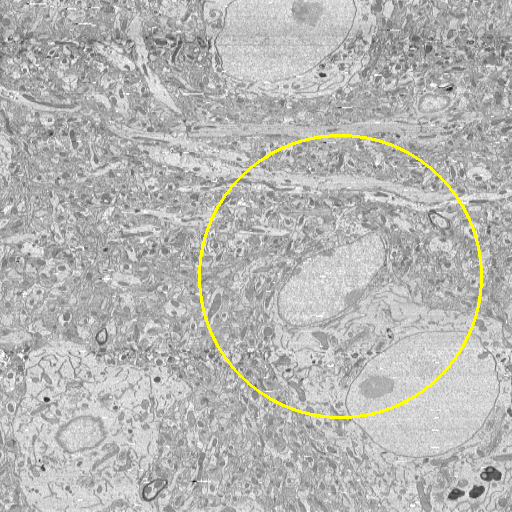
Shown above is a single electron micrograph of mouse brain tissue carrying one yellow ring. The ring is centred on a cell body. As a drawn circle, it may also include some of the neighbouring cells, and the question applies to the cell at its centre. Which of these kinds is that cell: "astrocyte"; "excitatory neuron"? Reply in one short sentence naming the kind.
The cell marked by the ring is an astrocyte.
